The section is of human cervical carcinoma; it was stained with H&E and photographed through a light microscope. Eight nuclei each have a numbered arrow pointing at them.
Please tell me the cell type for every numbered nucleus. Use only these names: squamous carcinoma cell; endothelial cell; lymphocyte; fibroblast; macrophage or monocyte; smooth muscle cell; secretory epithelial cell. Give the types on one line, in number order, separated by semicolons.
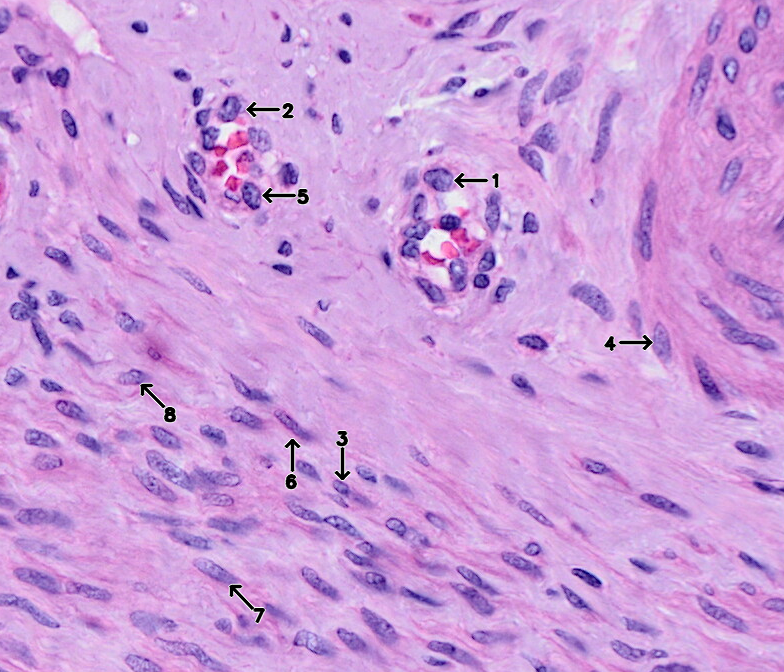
endothelial cell; endothelial cell; smooth muscle cell; smooth muscle cell; endothelial cell; smooth muscle cell; smooth muscle cell; smooth muscle cell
